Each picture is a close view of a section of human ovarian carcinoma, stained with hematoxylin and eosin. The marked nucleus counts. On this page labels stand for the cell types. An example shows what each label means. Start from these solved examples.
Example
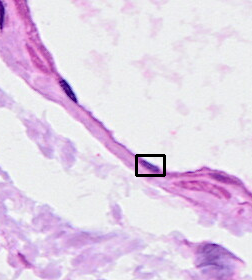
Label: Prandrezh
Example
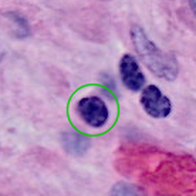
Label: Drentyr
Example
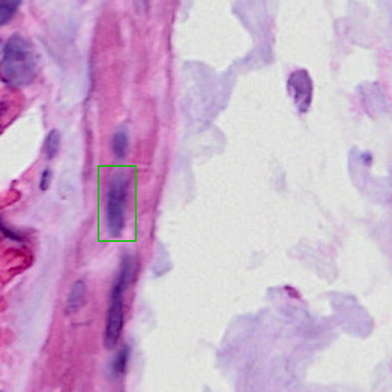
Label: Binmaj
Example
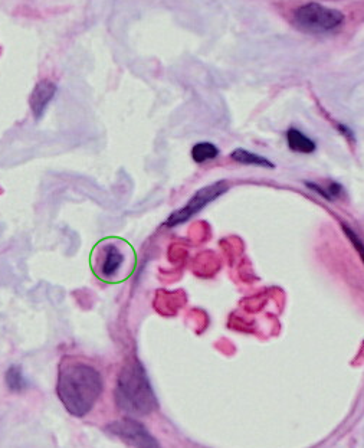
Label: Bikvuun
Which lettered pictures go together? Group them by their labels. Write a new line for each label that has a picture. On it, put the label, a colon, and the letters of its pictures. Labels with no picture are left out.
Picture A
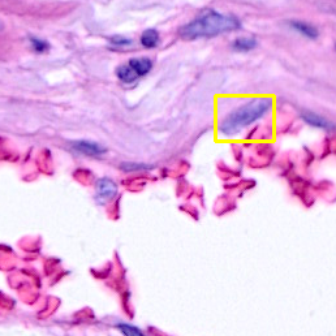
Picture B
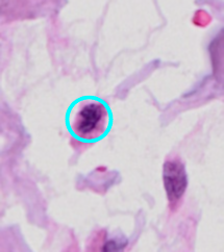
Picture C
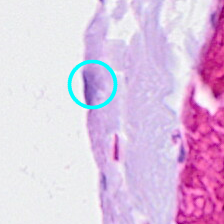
Prandrezh: A, C
Bikvuun: B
